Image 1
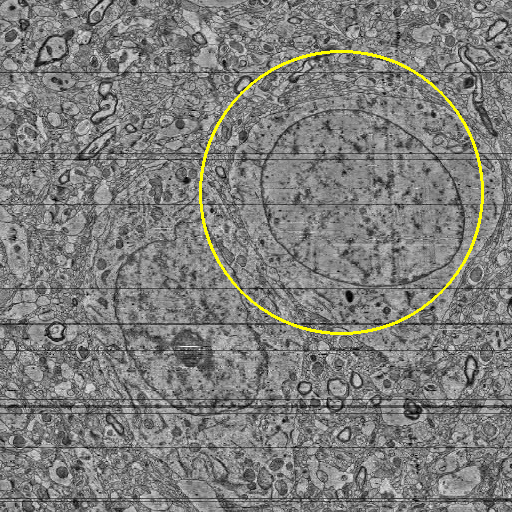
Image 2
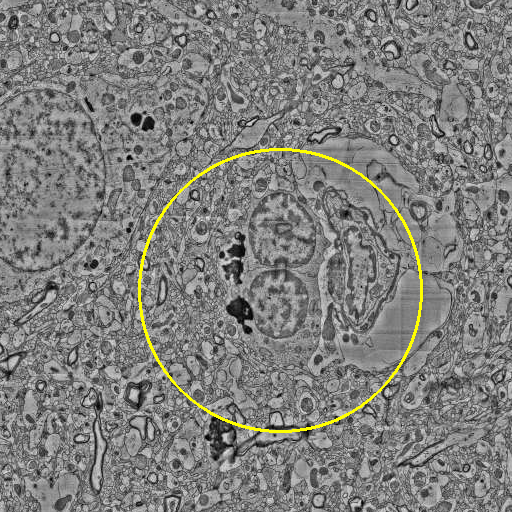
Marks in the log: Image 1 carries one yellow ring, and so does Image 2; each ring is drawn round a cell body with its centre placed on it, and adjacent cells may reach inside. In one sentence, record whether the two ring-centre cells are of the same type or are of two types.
The two cells at the ring centres, one in each image, are of two types.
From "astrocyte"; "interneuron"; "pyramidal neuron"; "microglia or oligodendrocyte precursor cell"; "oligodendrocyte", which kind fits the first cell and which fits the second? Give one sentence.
The cell marked in the first picture is a pyramidal neuron, and the one marked in the second is an oligodendrocyte.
